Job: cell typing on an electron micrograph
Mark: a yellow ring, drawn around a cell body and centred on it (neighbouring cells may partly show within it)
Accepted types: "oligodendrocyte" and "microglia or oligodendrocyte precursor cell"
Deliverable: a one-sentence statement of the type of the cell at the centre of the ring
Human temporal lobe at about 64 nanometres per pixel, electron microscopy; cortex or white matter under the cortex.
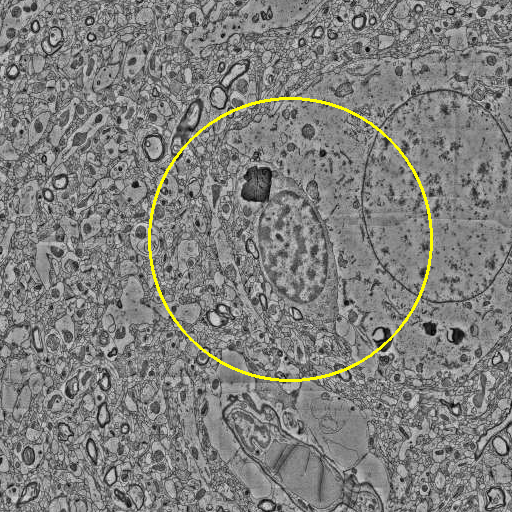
The centred cell body is that of an oligodendrocyte.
